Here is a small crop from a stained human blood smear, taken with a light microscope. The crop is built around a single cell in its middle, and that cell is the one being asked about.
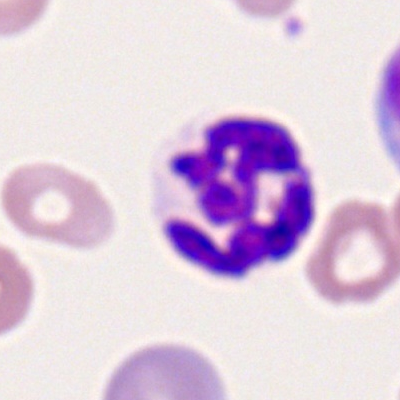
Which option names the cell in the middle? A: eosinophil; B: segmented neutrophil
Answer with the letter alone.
B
